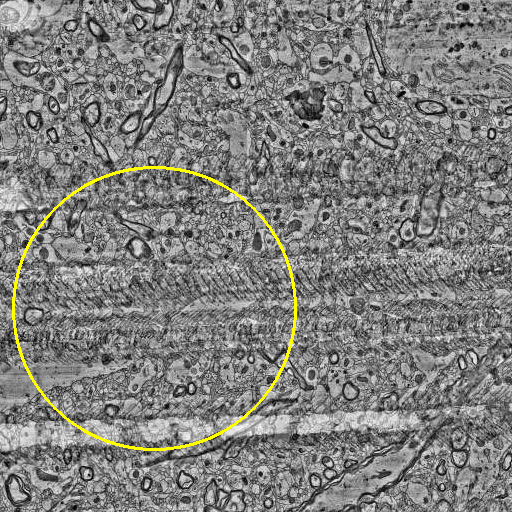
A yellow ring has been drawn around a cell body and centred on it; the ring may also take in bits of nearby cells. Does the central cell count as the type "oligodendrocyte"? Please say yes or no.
yes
